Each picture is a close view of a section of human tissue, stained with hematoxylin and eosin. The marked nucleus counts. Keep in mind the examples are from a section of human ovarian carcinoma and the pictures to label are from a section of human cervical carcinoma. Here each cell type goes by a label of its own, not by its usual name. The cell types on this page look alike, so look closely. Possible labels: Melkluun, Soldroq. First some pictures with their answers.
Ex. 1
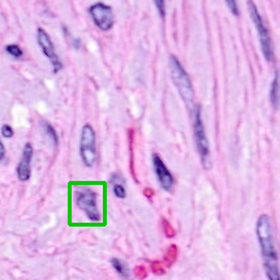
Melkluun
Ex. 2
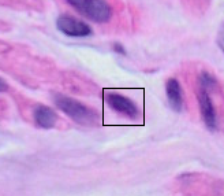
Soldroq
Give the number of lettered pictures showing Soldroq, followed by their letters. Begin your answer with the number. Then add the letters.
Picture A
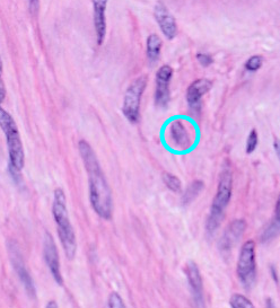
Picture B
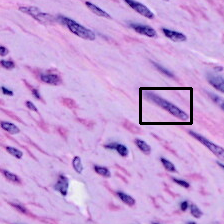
2, namely A, B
